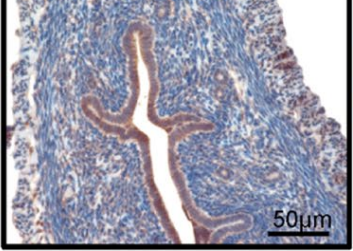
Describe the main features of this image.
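A section of uterine wall shows a narrow, branching central lumen lined by a single layer of tall columnar epithelial cells. The cytoplasm of these lining cells is stained strongly brown, with blue nuclei in a row along their bases. The surrounding stroma consists of densely packed cells with small blue elongated nuclei, and many of them carry a fainter brown tint. Small round gland profiles lie in the stroma, and the outer edge at the right is also stained brown.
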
